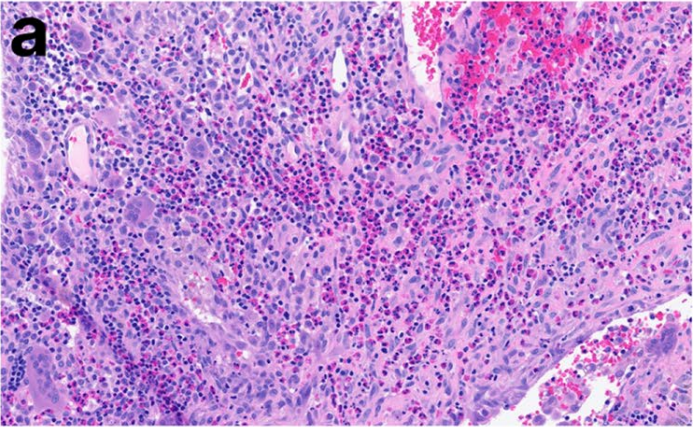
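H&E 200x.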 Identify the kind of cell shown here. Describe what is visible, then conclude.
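Many small cells with bright pink-red granular cytoplasm are scattered throughout. Several of these cells have small dark lobed nuclei.
Hence: eosinophils.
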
